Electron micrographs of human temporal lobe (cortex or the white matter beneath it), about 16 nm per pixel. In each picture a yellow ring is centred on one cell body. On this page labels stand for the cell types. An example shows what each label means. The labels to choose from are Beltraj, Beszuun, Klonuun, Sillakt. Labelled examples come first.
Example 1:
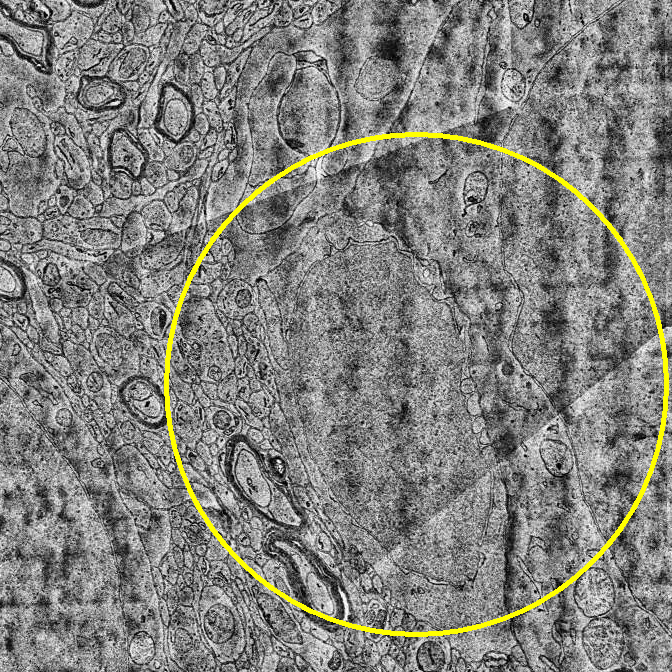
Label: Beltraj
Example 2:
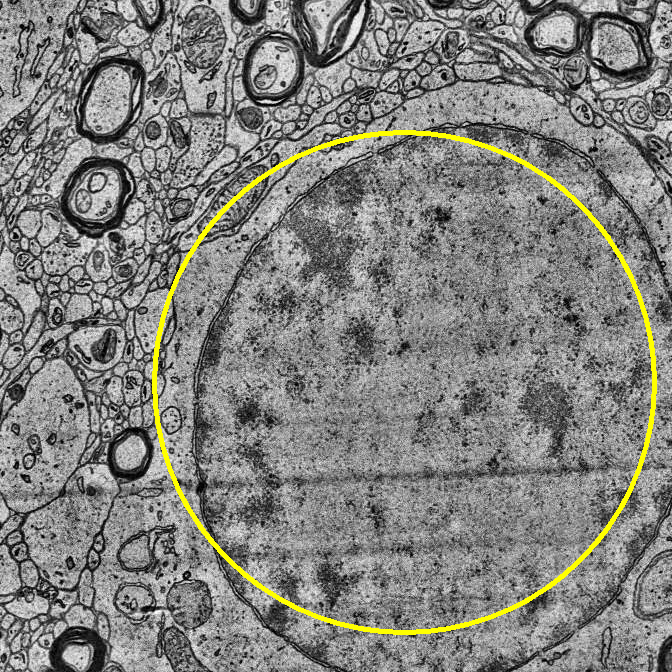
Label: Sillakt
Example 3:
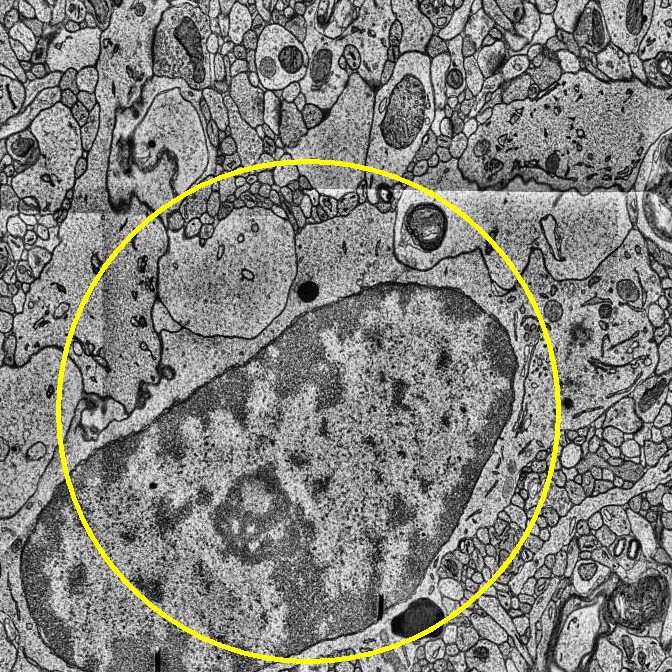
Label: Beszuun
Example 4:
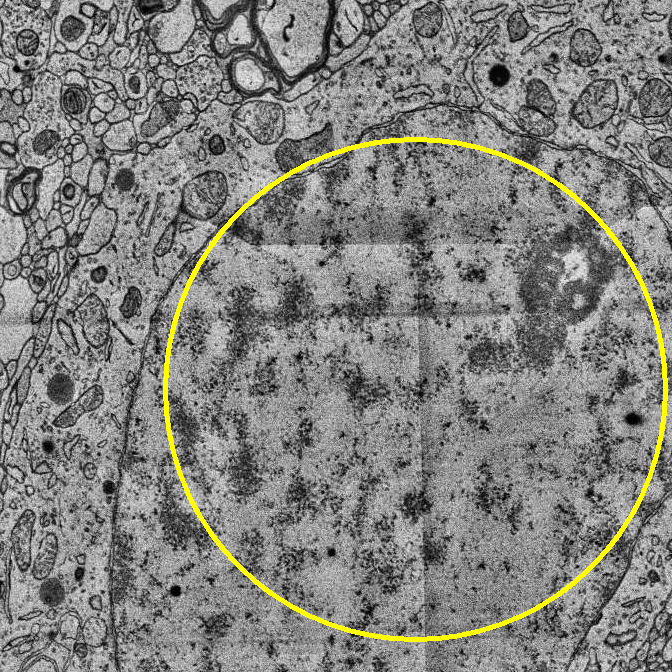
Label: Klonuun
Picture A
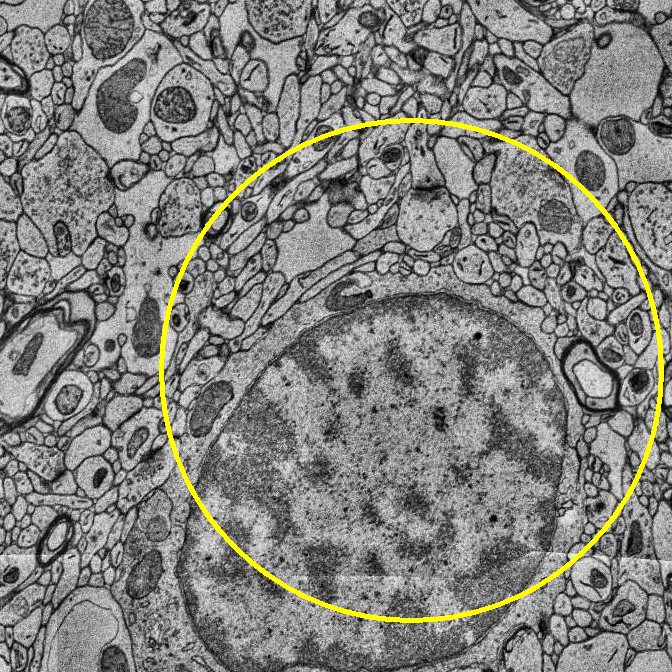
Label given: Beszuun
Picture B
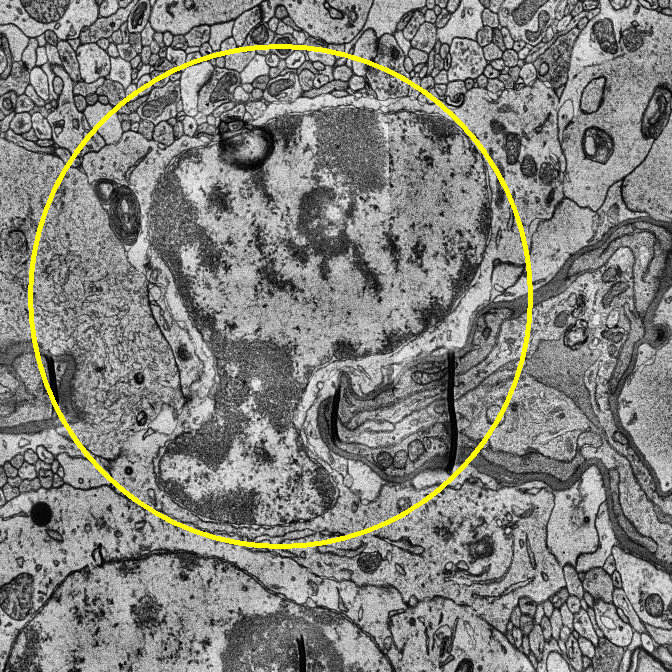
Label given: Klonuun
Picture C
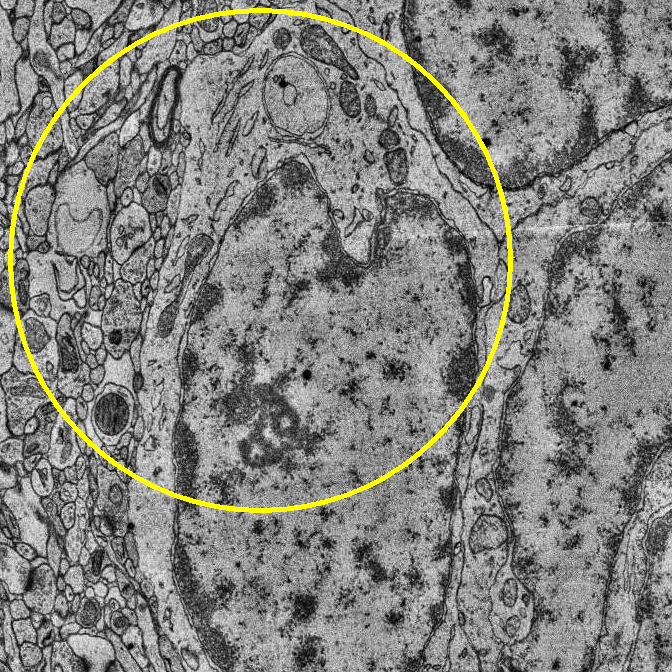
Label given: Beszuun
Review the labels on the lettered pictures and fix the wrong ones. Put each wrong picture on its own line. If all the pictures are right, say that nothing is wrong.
A: change Beszuun to Beltraj
B: change Klonuun to Beszuun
